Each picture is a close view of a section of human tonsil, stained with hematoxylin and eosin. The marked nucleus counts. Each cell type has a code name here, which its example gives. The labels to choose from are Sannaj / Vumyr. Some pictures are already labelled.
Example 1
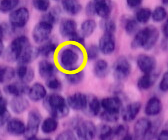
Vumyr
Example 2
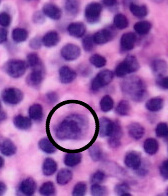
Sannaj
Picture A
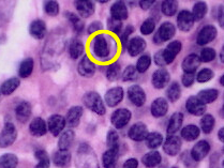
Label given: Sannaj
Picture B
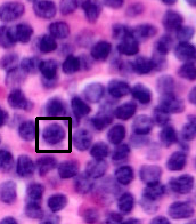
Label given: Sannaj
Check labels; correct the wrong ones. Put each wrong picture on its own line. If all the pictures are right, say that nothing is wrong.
A: Vumyr, not Sannaj
B: Vumyr, not Sannaj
